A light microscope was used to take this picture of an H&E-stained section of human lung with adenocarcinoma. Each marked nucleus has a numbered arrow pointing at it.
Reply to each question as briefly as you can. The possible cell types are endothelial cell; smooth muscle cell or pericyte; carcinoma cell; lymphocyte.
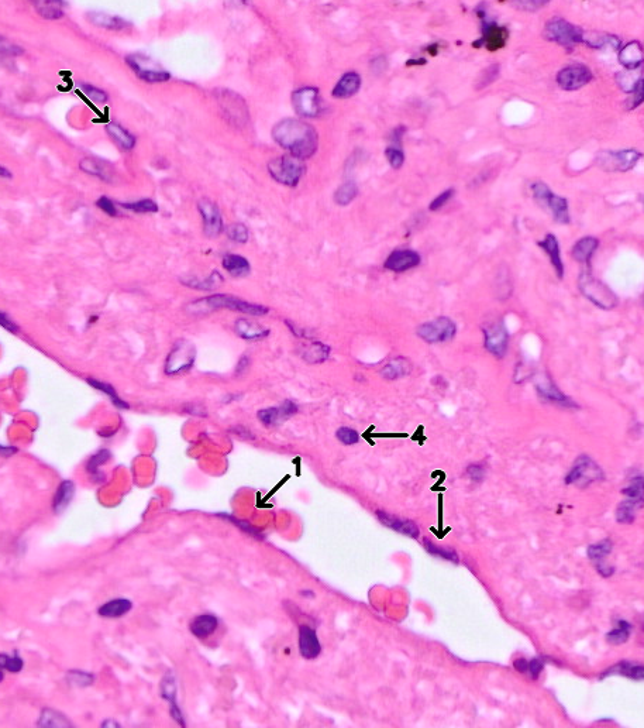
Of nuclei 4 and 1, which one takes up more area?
1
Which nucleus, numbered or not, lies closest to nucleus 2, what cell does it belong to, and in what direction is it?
an endothelial cell above and to the left of nucleus 2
